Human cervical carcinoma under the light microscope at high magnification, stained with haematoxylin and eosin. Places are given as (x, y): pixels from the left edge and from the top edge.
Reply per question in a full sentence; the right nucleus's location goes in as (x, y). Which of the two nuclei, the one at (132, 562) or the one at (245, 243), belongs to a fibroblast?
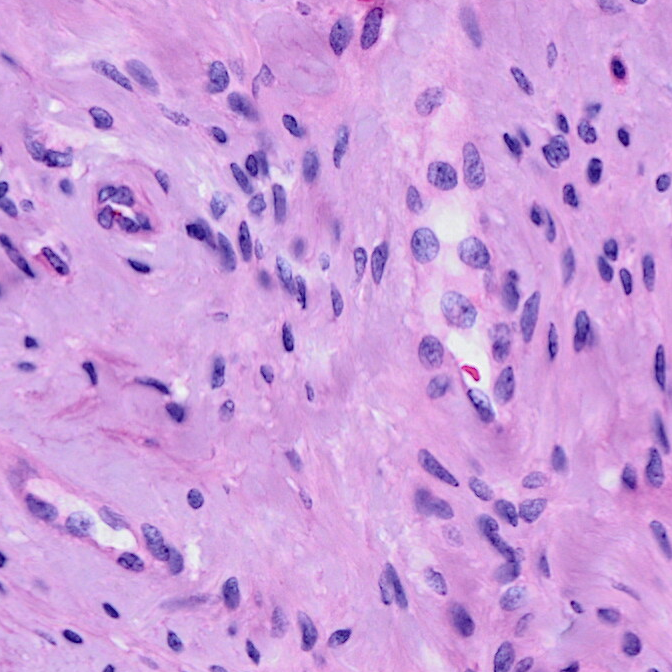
Identify the nucleus at (245, 243) as the one belonging to a fibroblast.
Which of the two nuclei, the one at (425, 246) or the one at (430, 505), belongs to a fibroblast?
Between the pair, the nucleus at (430, 505) belongs to a fibroblast.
